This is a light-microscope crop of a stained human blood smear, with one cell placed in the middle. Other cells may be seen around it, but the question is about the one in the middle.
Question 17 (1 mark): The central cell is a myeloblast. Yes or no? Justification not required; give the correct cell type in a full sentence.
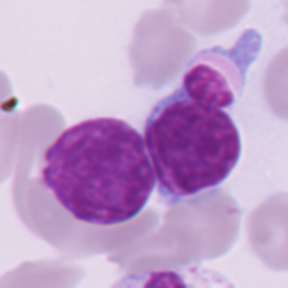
Yes, the cell that the crop is centered on is a myeloblast.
